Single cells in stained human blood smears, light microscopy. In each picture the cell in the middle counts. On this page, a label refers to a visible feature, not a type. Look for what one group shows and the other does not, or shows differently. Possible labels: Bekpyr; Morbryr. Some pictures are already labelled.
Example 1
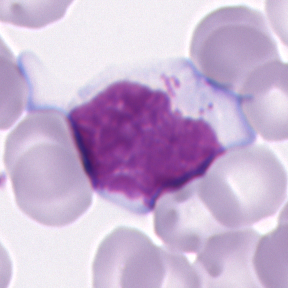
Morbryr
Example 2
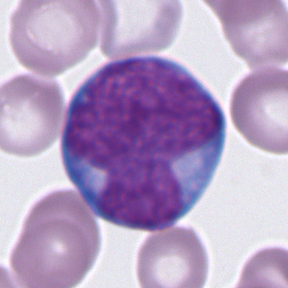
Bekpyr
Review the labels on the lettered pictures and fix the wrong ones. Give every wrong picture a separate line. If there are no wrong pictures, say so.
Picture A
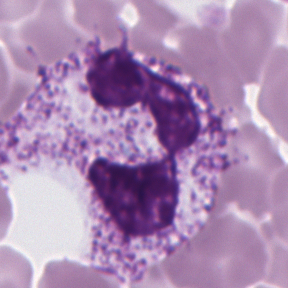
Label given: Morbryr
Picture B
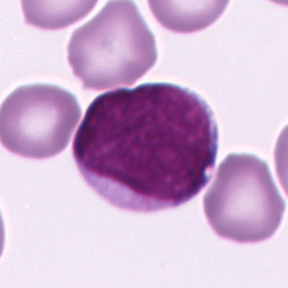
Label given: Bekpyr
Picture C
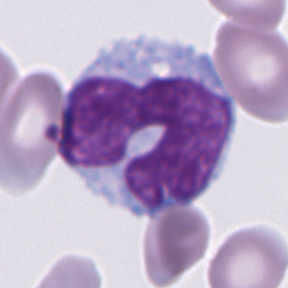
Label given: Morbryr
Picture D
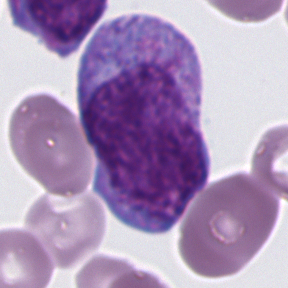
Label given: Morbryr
Wrong: D (Morbryr); correct: Bekpyr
